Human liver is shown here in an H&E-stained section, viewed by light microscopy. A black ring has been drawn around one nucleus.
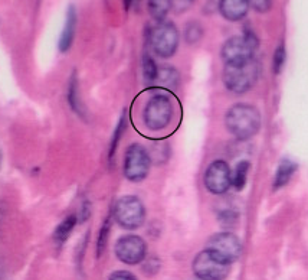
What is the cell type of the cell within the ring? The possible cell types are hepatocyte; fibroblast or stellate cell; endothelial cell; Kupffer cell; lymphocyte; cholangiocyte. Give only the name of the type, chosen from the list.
cholangiocyte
